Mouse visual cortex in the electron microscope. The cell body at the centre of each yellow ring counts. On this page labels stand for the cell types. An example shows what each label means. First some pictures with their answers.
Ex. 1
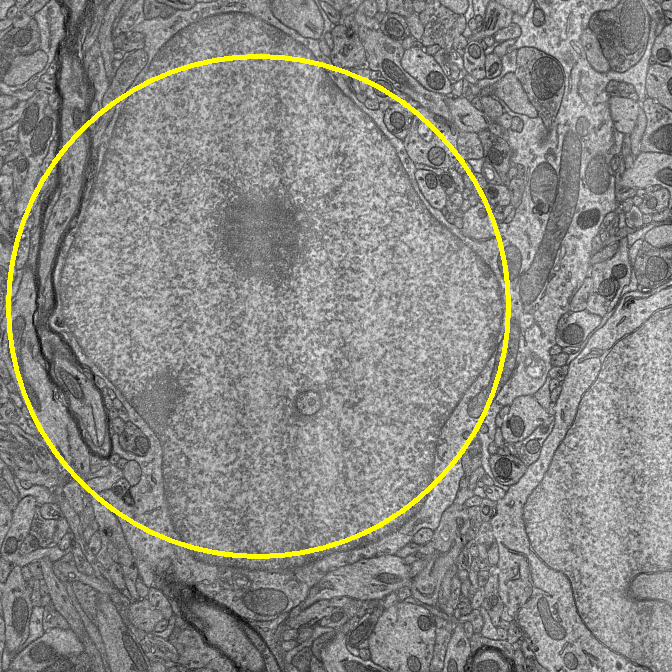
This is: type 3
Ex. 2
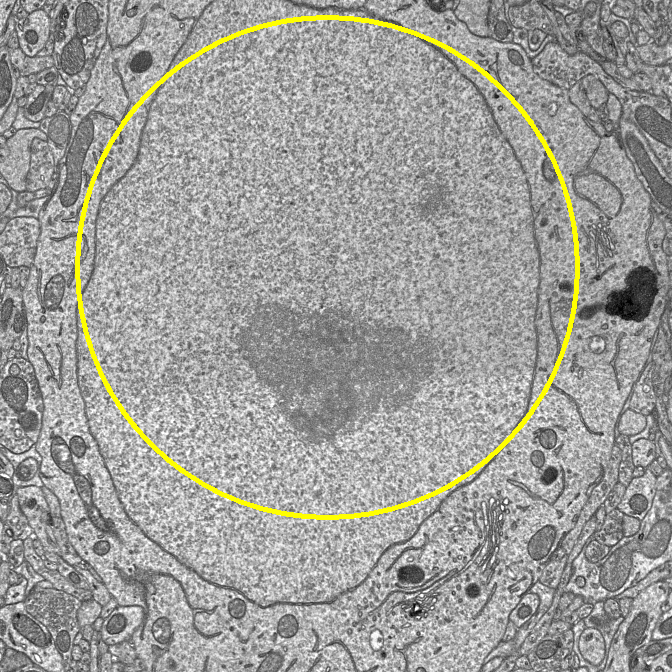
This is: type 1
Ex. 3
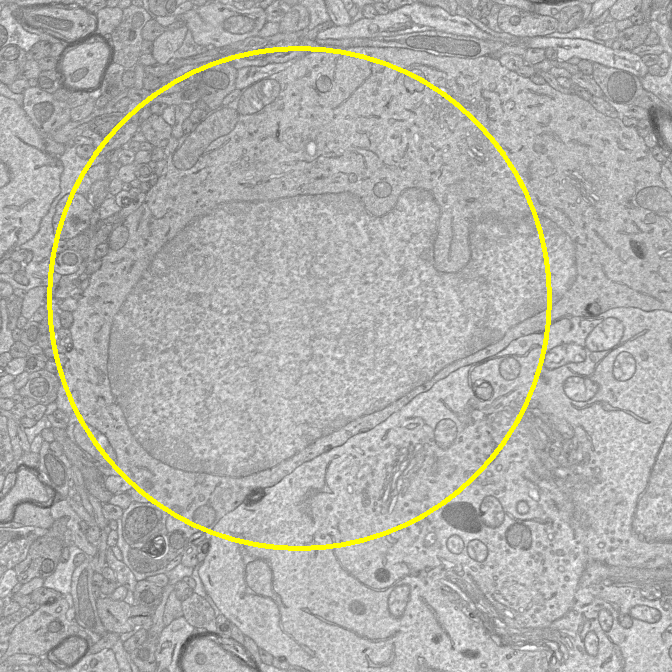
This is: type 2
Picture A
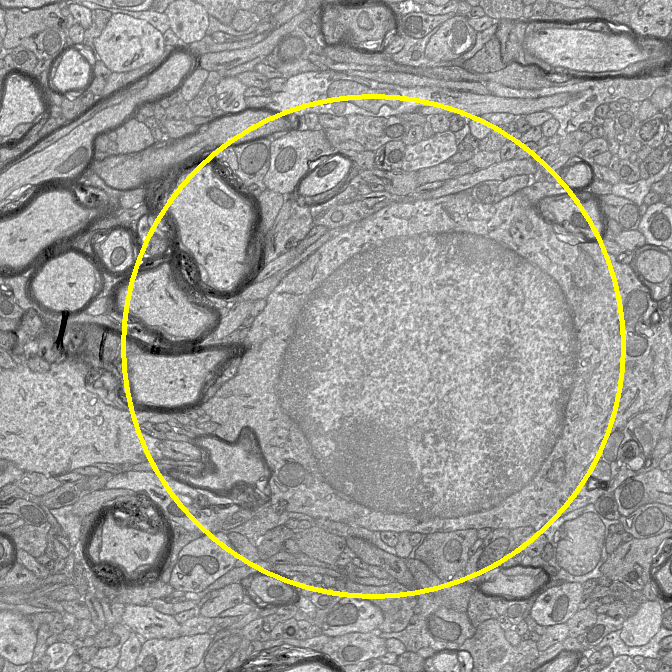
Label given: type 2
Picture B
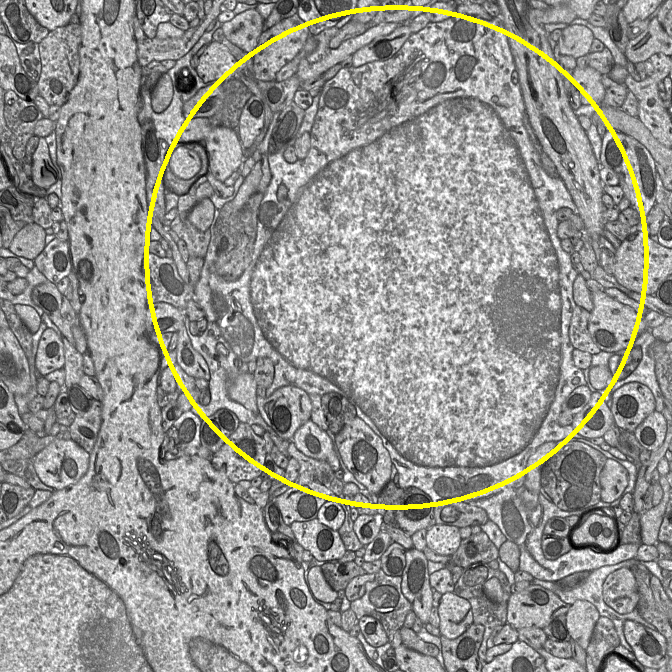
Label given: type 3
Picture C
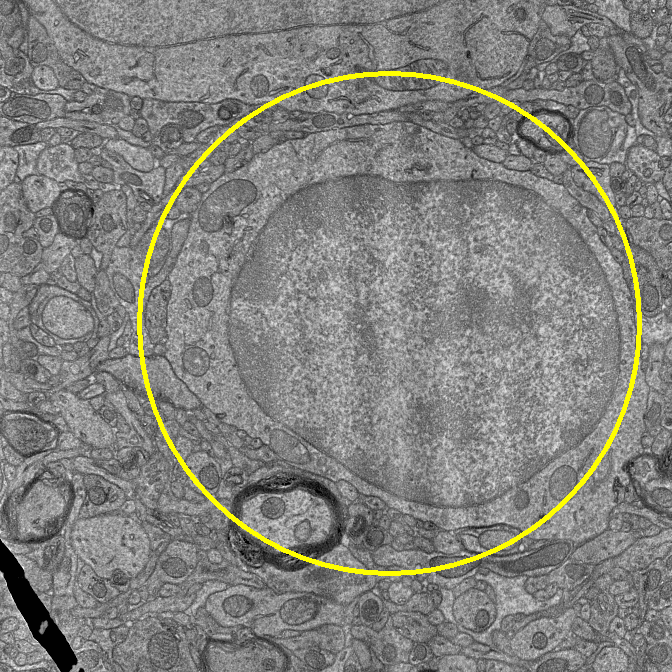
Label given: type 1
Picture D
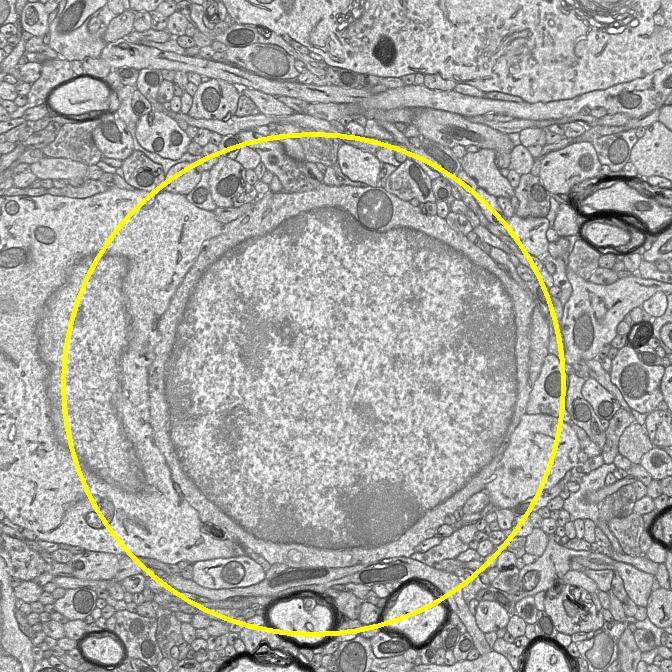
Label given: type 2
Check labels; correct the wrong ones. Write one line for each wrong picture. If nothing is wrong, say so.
C: change type 1 to type 2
